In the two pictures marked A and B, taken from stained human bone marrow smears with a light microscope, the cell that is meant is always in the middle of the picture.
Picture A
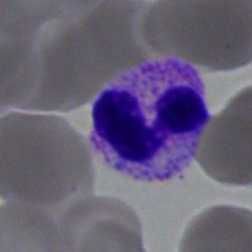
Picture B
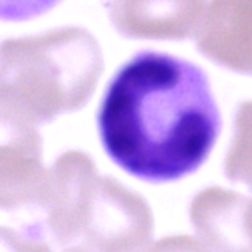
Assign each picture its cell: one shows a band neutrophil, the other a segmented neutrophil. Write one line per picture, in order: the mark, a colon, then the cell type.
A: segmented neutrophil
B: band neutrophil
